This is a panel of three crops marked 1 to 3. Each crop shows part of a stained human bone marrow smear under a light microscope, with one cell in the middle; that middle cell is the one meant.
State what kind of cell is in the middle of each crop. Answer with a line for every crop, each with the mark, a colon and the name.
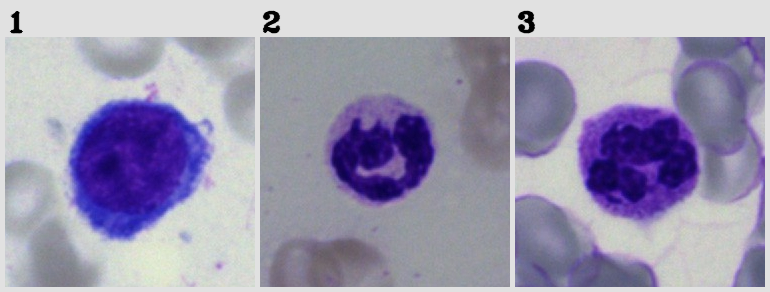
1: proerythroblast
2: segmented neutrophil
3: segmented neutrophil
